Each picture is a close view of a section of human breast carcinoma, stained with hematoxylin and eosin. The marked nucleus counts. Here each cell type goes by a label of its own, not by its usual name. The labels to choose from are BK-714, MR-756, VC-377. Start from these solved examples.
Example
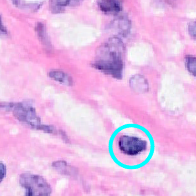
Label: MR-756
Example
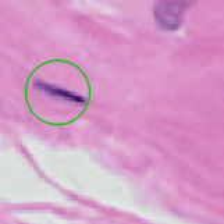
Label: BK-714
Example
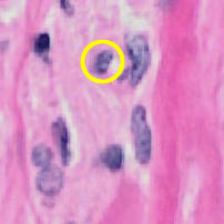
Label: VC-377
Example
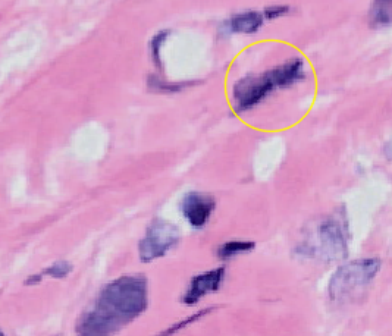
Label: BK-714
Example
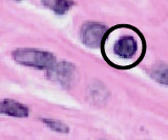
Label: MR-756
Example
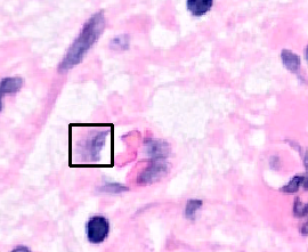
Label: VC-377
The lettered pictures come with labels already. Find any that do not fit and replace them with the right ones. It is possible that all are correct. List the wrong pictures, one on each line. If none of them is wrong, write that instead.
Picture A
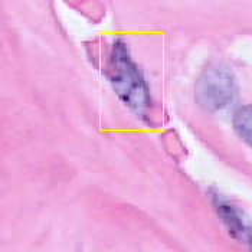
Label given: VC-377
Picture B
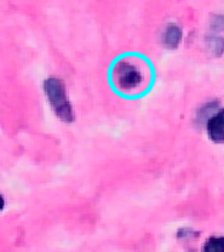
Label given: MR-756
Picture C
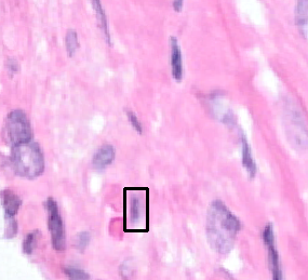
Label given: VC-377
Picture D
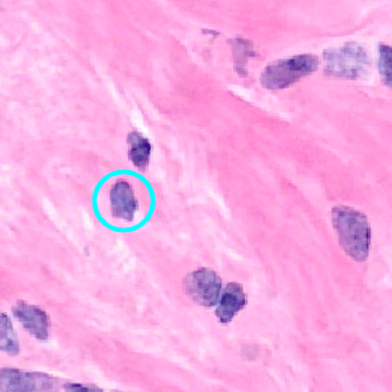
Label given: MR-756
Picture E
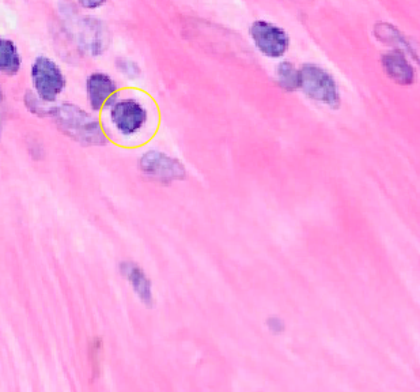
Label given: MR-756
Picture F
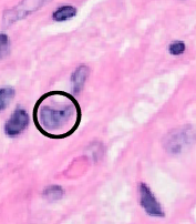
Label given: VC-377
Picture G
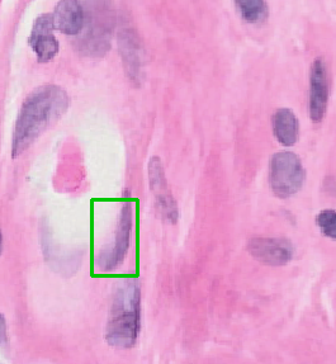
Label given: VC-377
All correct.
